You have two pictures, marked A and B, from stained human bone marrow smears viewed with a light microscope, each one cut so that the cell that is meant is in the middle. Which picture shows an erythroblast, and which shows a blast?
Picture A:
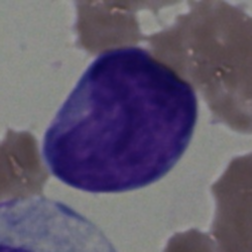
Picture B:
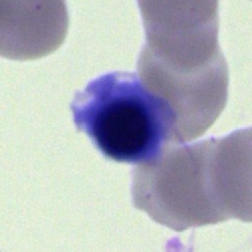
A: blast
B: erythroblast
